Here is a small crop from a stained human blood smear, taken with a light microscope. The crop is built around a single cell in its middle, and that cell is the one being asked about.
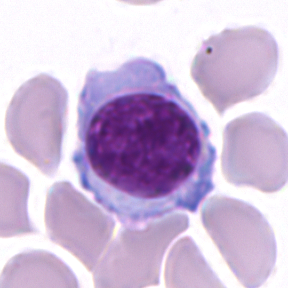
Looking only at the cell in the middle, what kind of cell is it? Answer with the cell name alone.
plasma cell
